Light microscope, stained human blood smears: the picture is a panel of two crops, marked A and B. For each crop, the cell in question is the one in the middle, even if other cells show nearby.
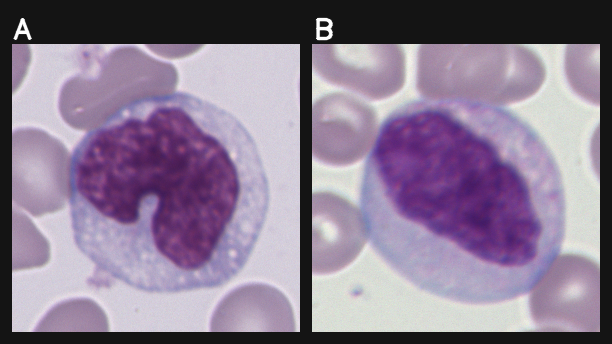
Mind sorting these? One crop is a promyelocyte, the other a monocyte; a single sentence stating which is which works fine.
It is a monocyte that crop A shows, and a promyelocyte that crop B shows.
